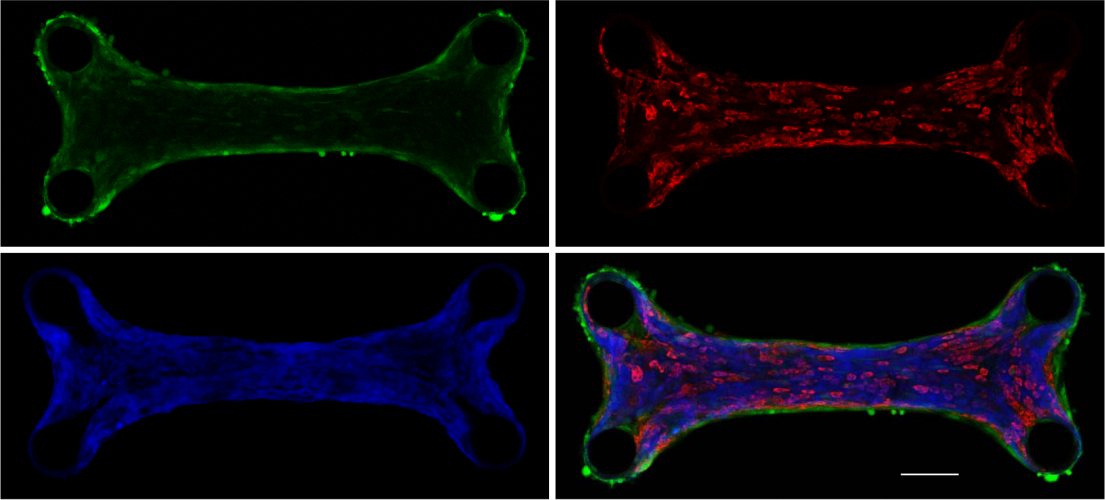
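This is a whole dog-bone shaped piece of engineered tissue stretched between four round anchoring holes, shown as separate colour channels and a merge. Green outlines the tissue, and its signal is strongest along the outer margins and around the holes.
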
